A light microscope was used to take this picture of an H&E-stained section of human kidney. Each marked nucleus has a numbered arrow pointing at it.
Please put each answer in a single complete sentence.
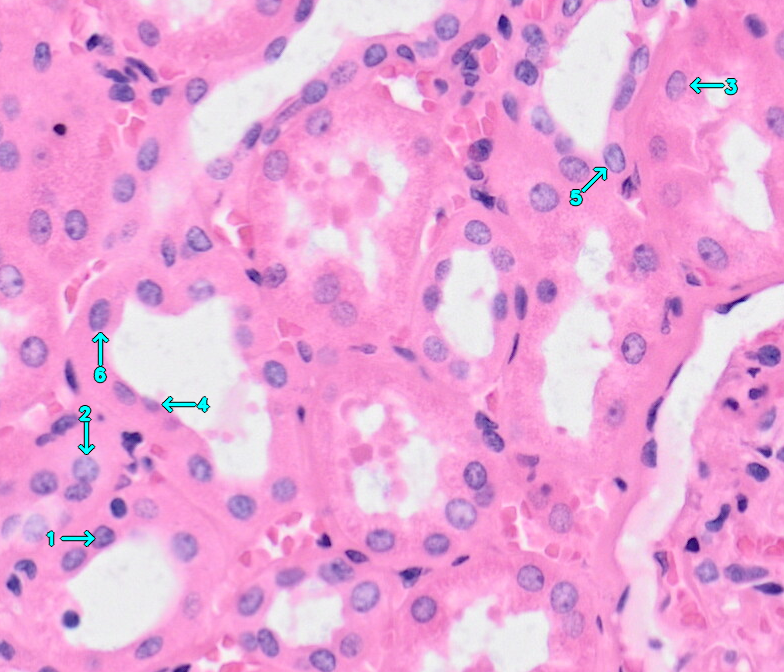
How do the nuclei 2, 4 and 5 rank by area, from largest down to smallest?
The nuclei rank 2, 5, 4, from largest to smallest.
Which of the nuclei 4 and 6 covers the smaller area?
The smaller nucleus is 4, and 6 covers roughly 3 times its area.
